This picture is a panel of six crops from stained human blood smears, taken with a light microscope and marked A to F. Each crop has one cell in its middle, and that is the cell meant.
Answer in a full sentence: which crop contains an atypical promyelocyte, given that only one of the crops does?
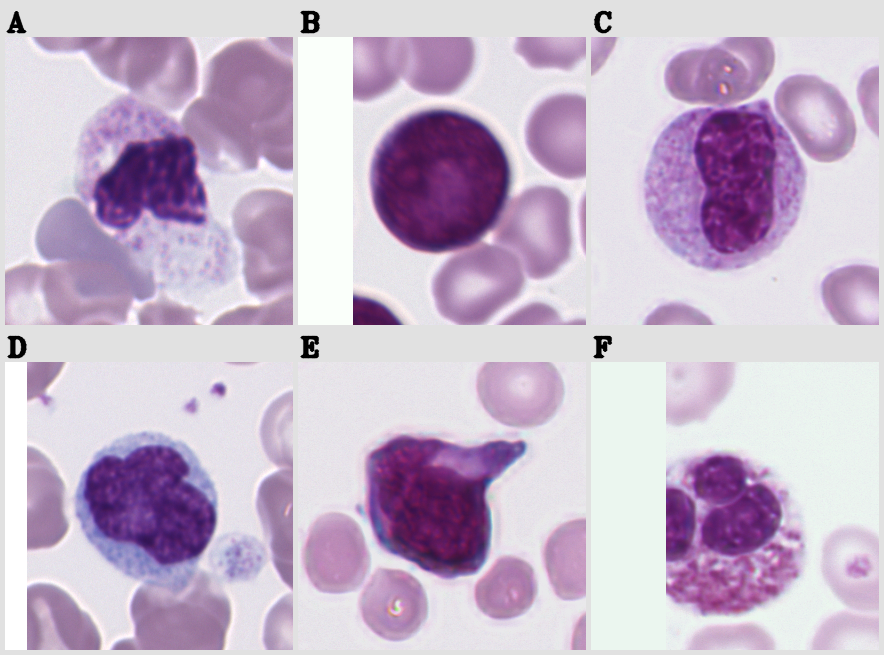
The crop in which an atypical promyelocyte is shown is crop E.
